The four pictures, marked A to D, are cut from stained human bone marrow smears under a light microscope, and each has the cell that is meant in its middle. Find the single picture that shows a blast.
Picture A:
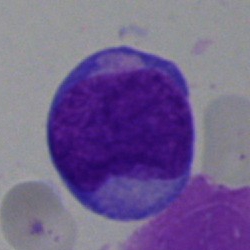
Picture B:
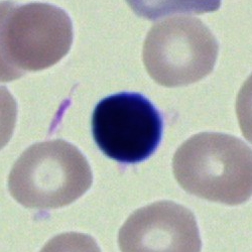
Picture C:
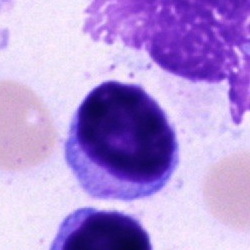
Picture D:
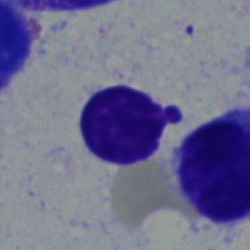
A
